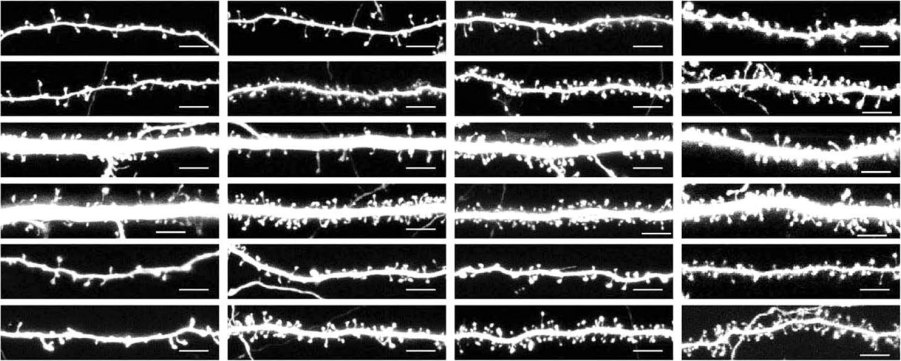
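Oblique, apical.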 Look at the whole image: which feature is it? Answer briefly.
dendrites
